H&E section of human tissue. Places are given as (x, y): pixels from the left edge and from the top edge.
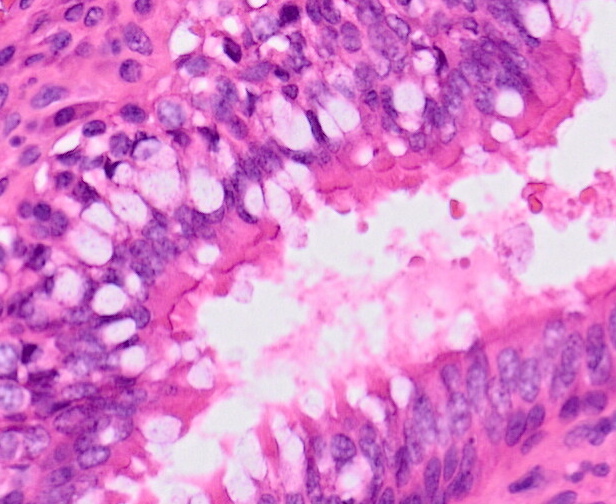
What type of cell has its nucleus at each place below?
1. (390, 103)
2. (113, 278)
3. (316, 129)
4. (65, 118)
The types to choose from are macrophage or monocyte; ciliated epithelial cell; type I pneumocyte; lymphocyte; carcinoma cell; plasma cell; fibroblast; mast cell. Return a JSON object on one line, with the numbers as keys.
{"1": "ciliated epithelial cell", "2": "ciliated epithelial cell", "3": "ciliated epithelial cell", "4": "plasma cell"}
